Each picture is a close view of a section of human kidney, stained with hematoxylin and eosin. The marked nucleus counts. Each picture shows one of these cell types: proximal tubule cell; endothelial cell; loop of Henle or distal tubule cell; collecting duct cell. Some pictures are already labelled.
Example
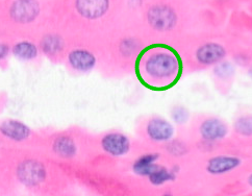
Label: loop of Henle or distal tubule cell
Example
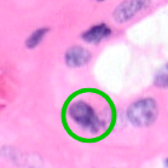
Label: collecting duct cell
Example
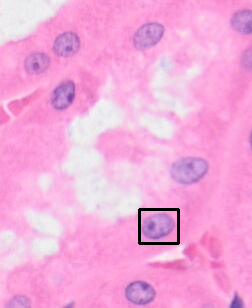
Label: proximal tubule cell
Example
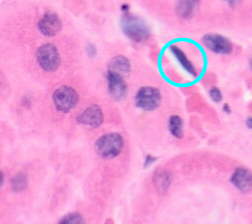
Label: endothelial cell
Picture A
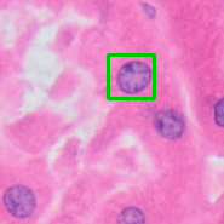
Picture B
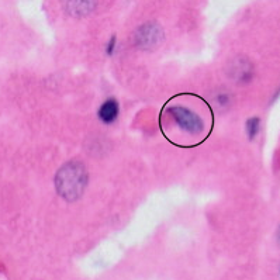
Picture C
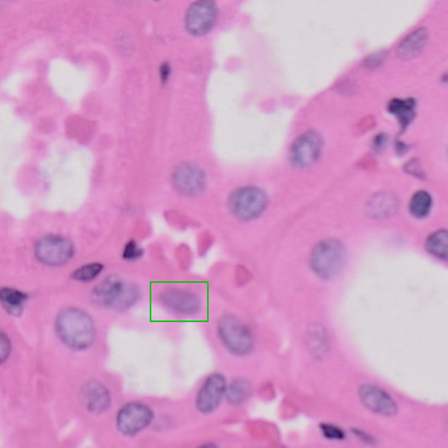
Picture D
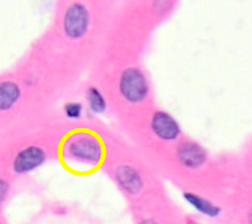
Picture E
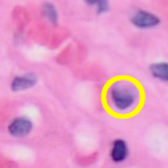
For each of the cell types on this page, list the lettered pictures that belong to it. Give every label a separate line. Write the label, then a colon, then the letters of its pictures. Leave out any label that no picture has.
proximal tubule cell: A
endothelial cell: B, E
loop of Henle or distal tubule cell: D
collecting duct cell: C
